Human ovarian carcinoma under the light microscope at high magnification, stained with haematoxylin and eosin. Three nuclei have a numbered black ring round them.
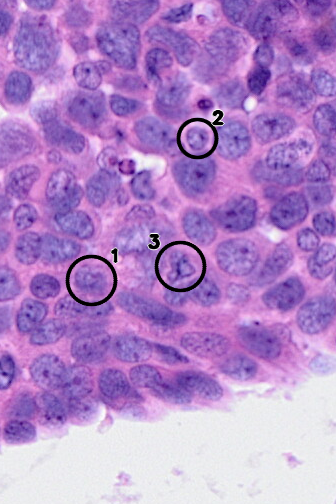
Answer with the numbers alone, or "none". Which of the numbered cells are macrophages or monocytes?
2, 3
